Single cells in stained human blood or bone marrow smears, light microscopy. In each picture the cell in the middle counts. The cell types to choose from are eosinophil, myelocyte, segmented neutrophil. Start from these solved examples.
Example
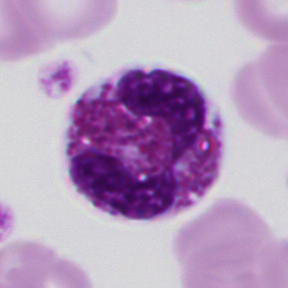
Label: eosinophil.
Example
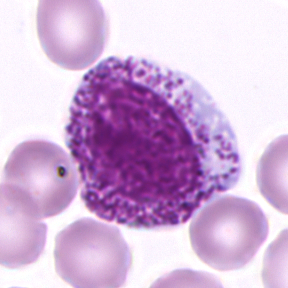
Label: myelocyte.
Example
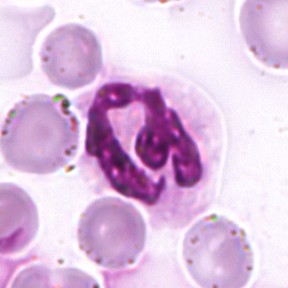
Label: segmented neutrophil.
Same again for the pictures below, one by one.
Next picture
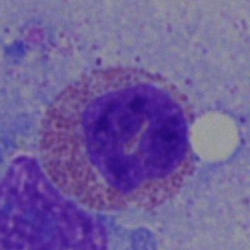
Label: eosinophil.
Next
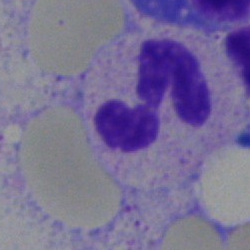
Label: segmented neutrophil.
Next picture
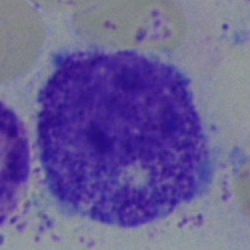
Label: myelocyte.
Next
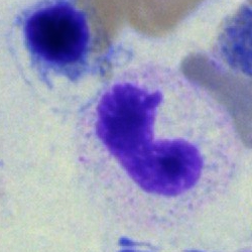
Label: segmented neutrophil.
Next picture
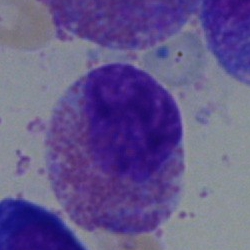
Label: eosinophil.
